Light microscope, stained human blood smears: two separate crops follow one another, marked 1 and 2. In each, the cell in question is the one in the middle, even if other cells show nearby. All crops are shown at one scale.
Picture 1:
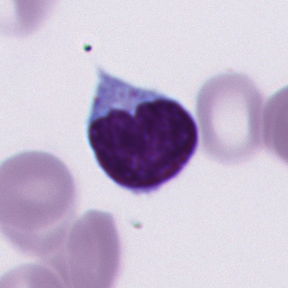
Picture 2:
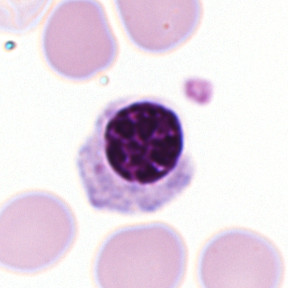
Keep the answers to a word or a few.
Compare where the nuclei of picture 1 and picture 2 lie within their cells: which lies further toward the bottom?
1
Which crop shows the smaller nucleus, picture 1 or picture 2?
2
